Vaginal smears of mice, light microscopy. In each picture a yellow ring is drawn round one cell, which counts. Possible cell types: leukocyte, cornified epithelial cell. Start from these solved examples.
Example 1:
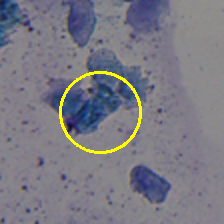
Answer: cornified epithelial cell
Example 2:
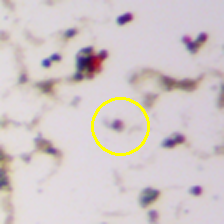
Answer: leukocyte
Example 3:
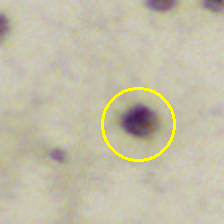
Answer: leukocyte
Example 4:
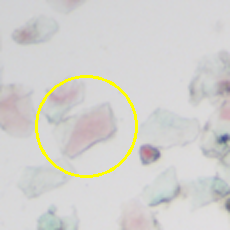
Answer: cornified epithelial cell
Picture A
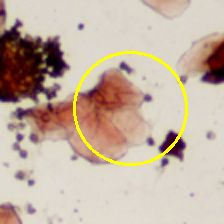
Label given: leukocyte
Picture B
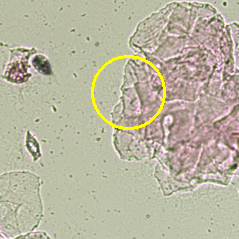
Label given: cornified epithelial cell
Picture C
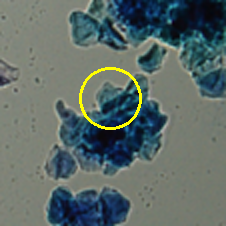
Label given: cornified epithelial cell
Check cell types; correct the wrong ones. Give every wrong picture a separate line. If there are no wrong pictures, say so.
A: cornified epithelial cell, not leukocyte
